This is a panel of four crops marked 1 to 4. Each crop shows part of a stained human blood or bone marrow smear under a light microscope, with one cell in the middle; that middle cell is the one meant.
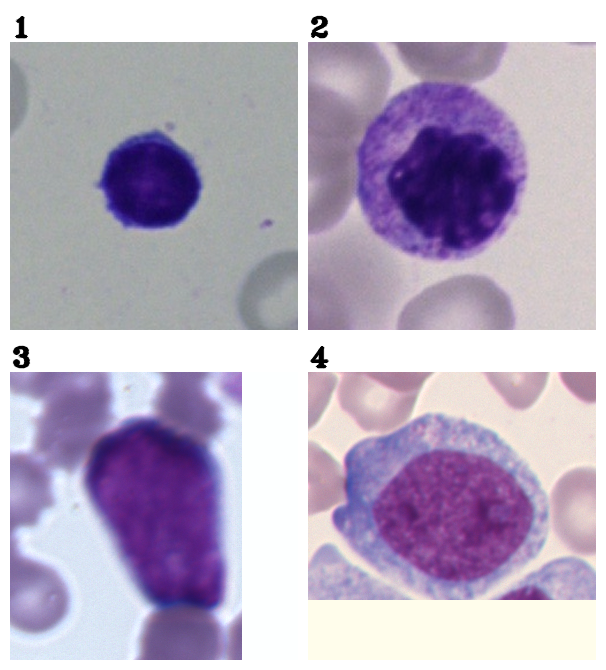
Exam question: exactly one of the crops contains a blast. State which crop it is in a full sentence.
Crop 3 is the crop that shows a blast in its middle.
